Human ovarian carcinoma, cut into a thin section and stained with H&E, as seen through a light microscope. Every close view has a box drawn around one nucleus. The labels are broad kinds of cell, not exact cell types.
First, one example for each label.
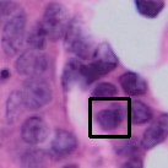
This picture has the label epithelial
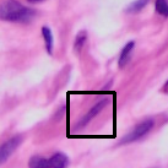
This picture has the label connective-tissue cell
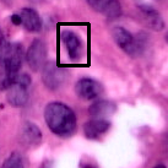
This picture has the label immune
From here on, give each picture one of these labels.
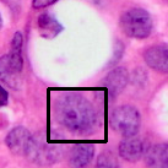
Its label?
epithelial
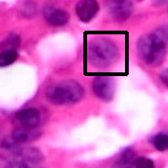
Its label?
epithelial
